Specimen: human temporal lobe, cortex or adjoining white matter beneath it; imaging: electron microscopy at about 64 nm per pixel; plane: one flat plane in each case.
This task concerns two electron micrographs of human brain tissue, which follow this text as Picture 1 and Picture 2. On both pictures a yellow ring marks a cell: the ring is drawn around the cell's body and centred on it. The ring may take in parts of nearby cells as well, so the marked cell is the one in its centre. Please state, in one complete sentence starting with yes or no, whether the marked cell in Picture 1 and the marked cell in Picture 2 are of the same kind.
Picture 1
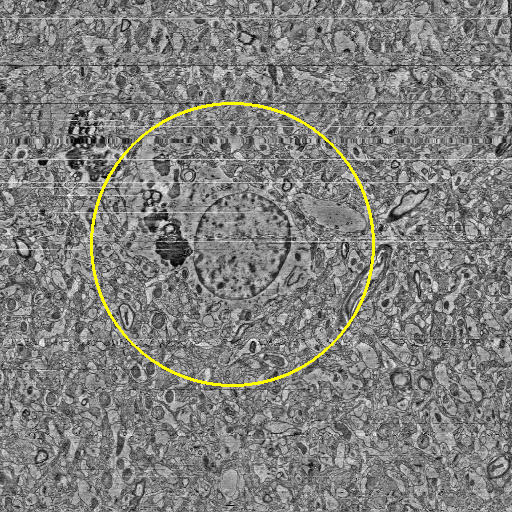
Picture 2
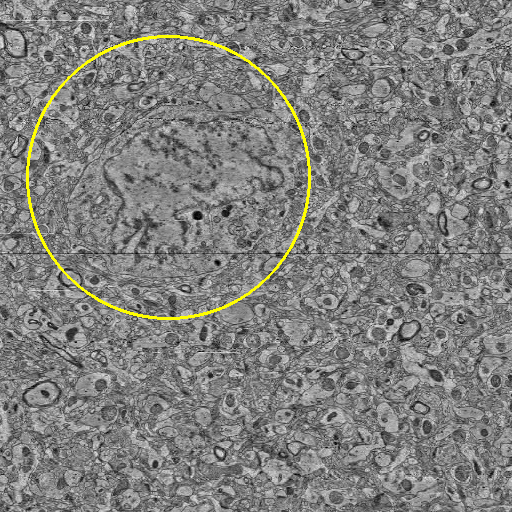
No, the marked cells in the two pictures are of two kinds.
